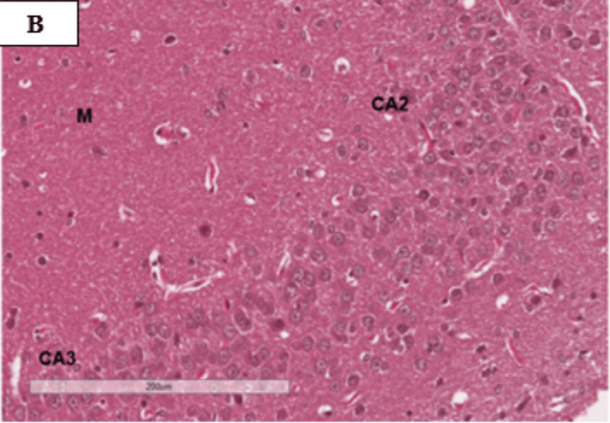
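A broad band of closely packed, large, round cell bodies curves through pale pink fibrous tissue; these are hippocampal neurons. Each has a round pale nucleus with finely dispersed chromatin and a small, distinct dark nucleolus, giving an open, vesicular look, surrounded by a thin rim of pink cytoplasm. Beside the band, the pink neuropil holds scattered small nuclei and several thin-walled vessels with clear spaces. The cell bodies are evenly shaped, not shrunken or darkened, consistent with healthy neurons.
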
